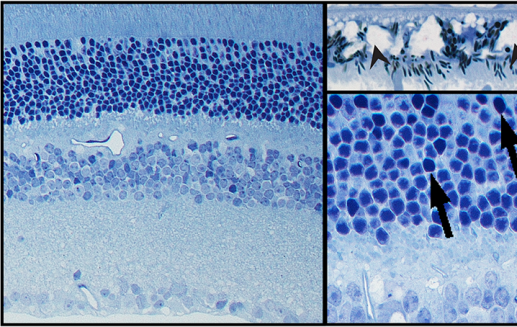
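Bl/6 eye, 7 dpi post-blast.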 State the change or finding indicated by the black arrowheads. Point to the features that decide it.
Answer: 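Large clear, unstained spaces lie in the pigmented epithelial layer. Dark pigment granules surround the clear spaces.
Hence: vacuoles.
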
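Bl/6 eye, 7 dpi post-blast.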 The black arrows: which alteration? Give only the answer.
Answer: Pyknotic nuclei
